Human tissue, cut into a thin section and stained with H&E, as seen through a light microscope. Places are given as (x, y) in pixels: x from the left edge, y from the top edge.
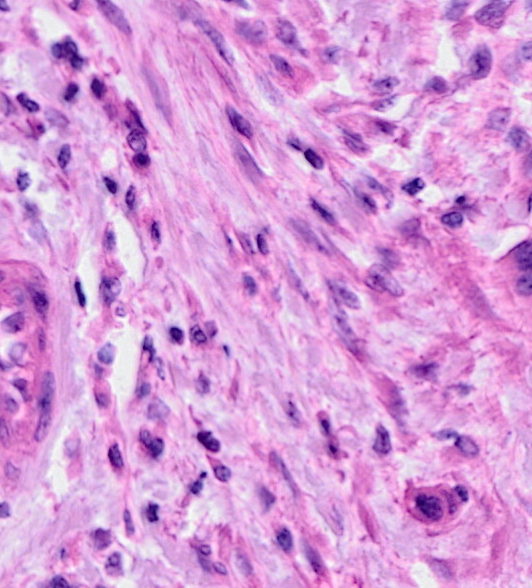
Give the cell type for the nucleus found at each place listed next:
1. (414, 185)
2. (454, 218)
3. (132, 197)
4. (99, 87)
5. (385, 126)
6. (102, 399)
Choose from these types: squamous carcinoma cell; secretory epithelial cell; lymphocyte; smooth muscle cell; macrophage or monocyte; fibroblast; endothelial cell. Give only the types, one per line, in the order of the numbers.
lymphocyte
lymphocyte
macrophage or monocyte
lymphocyte
fibroblast
macrophage or monocyte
